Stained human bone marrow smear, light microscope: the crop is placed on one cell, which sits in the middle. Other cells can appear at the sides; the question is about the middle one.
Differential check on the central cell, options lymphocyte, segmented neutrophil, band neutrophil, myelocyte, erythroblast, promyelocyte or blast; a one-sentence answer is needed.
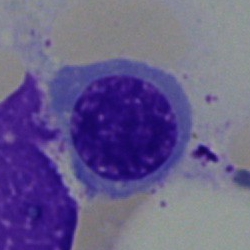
The centered cell in this crop is an erythroblast.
